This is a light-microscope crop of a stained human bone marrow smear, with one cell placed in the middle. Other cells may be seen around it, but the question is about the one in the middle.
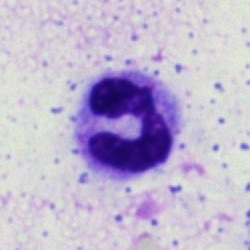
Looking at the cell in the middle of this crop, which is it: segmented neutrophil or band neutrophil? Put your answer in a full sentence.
The cell at the centre of the field is a segmented neutrophil.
